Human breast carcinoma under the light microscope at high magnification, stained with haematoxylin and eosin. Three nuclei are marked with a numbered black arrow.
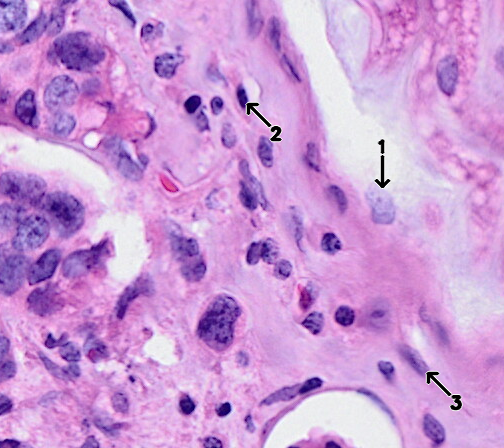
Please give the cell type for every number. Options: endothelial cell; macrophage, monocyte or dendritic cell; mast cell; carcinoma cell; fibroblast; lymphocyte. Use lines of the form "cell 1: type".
cell 1: fibroblast
cell 2: lymphocyte
cell 3: fibroblast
